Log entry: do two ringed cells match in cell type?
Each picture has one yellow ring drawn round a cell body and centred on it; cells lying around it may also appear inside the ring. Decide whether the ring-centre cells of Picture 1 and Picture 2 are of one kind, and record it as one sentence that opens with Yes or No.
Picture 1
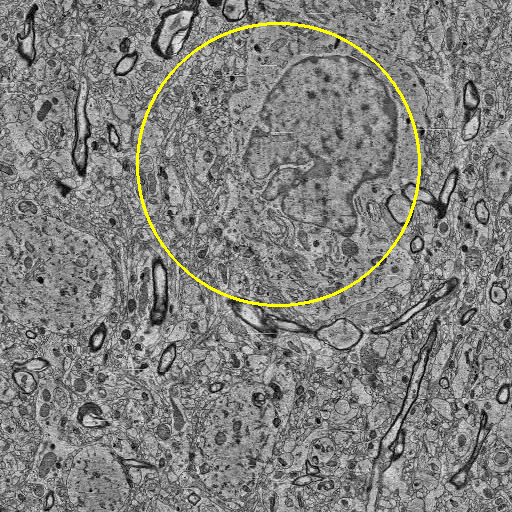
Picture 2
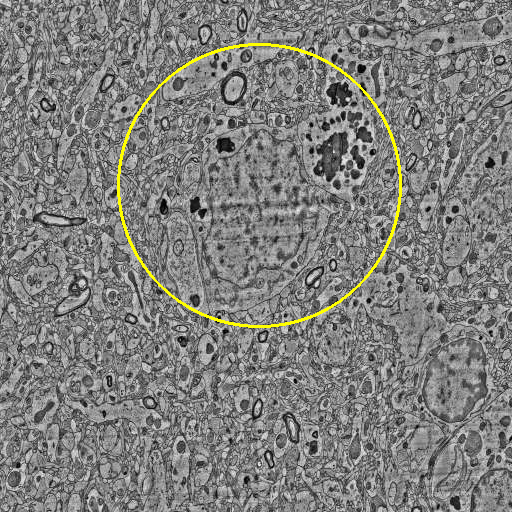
No, the cells at the ring centres of the two pictures belong to two kinds.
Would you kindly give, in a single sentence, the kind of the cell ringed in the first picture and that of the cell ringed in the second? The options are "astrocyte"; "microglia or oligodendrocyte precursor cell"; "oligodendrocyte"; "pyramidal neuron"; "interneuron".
The second cell is an interneuron, and the first cell is a microglial cell or oligodendrocyte precursor cell.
